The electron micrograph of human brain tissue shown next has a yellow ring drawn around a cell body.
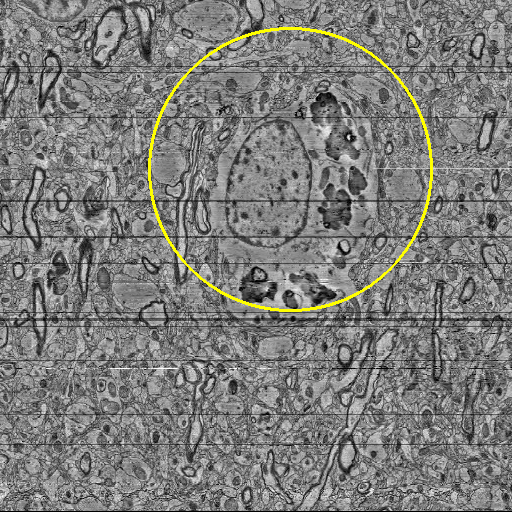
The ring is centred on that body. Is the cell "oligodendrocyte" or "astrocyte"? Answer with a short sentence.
The cell in question is an astrocyte.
